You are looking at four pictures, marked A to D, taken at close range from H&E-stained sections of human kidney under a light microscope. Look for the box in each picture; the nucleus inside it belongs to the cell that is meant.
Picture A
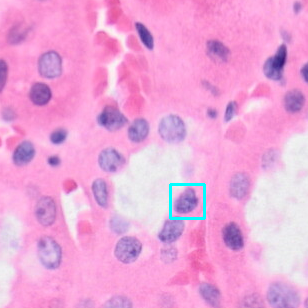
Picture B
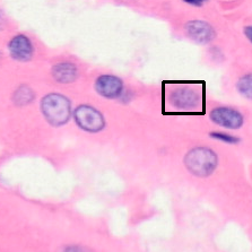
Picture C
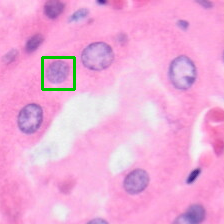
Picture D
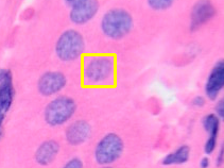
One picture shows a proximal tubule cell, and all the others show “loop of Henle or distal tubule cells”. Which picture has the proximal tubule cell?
C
